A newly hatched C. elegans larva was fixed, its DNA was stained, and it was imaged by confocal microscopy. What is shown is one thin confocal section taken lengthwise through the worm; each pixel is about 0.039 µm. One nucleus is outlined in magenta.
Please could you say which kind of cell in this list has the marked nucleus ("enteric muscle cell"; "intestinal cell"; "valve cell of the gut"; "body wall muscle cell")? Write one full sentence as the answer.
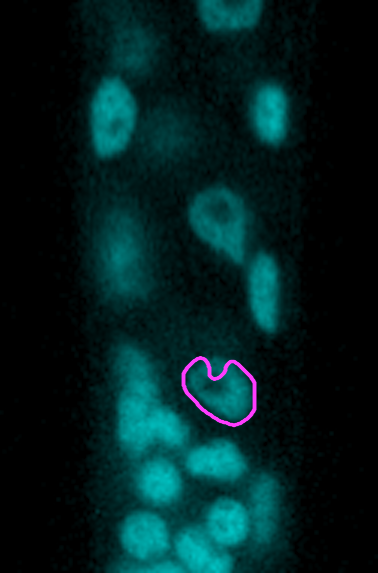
The cell with the marked nucleus is an intestinal cell.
